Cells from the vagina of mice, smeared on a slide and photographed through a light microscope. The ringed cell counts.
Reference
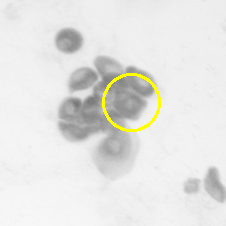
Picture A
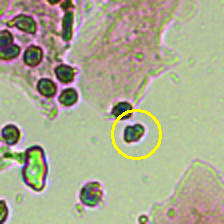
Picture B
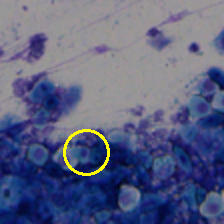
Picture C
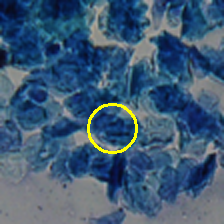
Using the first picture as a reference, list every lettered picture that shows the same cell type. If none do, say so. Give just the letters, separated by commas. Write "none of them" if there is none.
B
